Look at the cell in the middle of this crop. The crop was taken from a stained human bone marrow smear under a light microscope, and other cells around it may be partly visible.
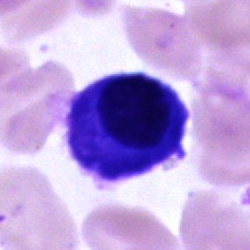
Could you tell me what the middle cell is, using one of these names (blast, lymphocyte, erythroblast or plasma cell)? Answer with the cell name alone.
plasma cell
